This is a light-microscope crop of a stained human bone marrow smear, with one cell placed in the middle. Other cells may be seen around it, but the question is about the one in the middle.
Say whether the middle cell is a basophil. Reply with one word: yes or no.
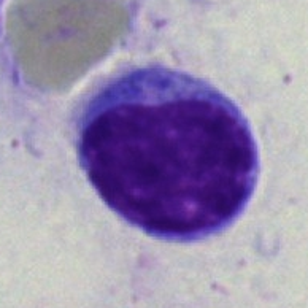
no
